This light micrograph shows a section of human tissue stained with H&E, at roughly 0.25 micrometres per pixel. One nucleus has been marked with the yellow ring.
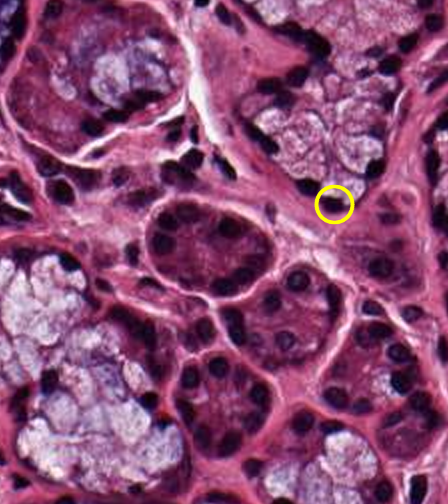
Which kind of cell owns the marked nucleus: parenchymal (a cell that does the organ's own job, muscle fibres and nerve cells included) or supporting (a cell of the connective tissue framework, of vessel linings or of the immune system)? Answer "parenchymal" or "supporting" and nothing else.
parenchymal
